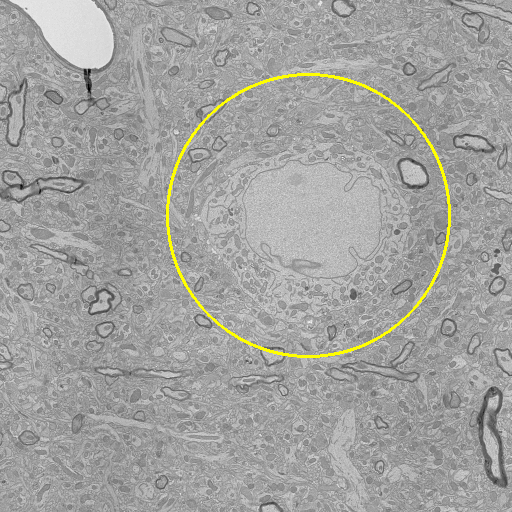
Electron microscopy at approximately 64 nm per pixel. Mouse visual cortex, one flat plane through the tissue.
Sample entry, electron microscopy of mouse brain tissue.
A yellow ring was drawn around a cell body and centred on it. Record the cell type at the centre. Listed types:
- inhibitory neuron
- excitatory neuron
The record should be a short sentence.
The cell at the ring's centre is an inhibitory neuron.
